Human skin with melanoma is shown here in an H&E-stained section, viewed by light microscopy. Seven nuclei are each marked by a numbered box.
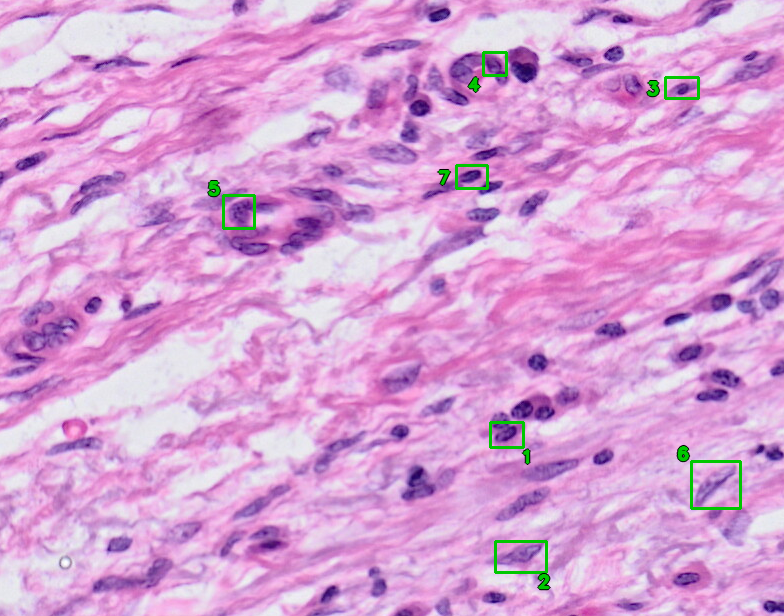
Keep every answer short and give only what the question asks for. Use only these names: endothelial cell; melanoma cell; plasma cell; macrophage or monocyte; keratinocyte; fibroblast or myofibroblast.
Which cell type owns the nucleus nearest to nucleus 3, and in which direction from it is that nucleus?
a fibroblast or myofibroblast; below nucleus 3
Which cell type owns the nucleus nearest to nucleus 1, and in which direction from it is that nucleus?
a plasma cell; above and to the left of nucleus 1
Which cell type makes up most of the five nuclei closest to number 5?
endothelial cell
